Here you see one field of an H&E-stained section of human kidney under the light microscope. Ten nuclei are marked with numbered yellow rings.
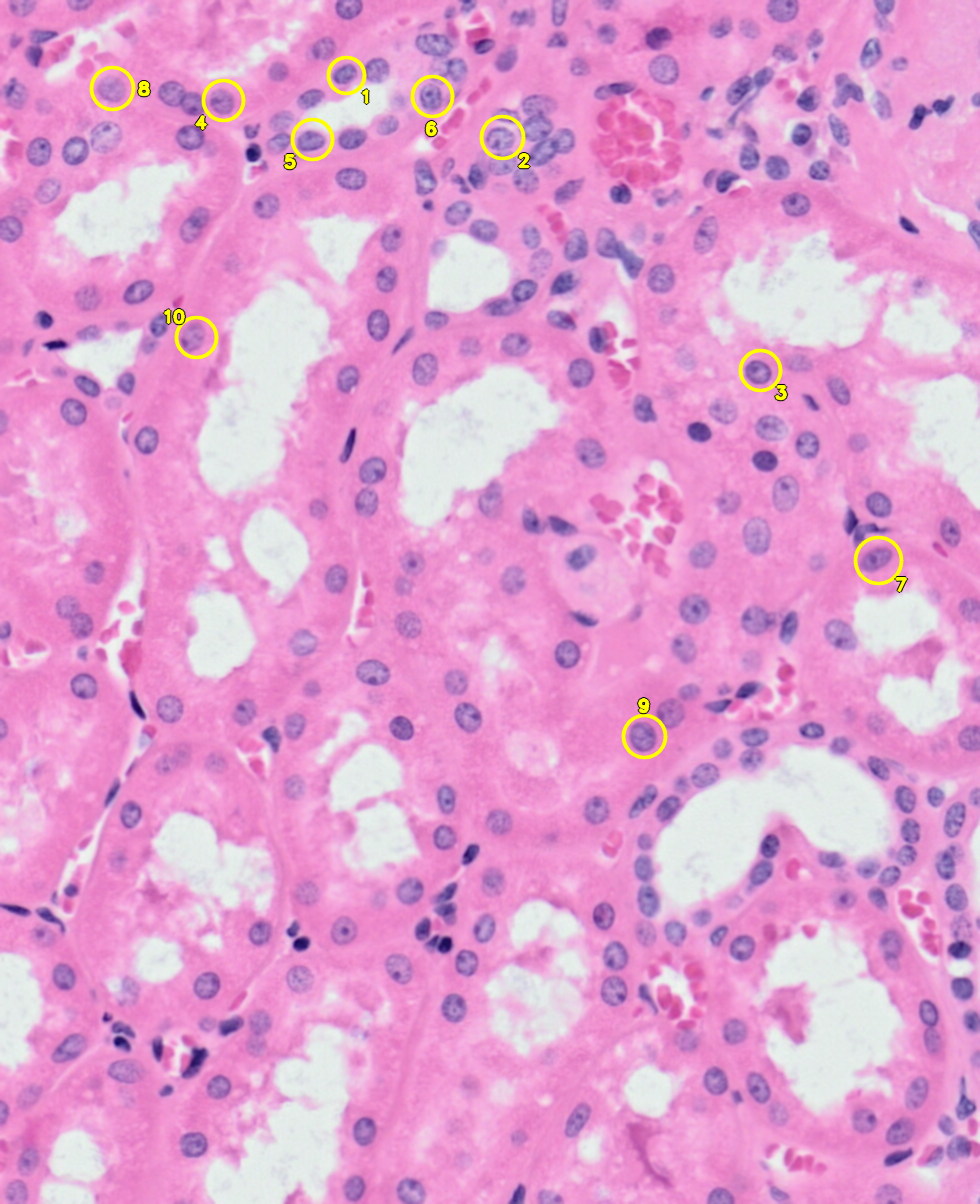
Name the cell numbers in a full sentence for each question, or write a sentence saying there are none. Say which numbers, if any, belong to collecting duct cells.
Identified as collecting duct cells are the cells numbered 1, 2, 5 and 6.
